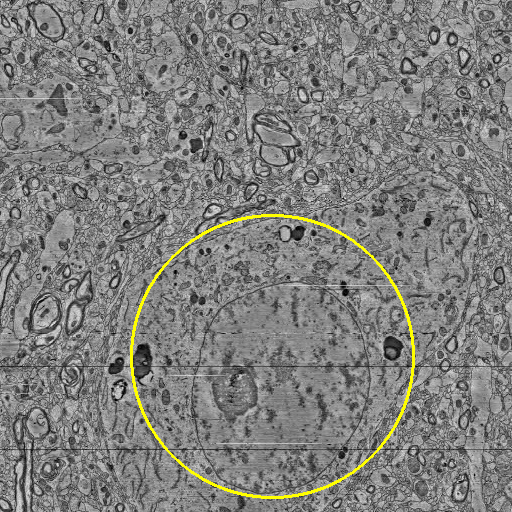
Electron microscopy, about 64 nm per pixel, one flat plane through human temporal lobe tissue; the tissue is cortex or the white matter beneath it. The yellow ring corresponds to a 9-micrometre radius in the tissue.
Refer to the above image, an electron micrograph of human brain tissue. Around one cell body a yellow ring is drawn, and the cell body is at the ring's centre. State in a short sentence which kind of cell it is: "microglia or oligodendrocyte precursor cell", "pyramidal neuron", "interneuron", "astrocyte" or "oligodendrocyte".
The centre of the ring falls on a pyramidal neuron.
